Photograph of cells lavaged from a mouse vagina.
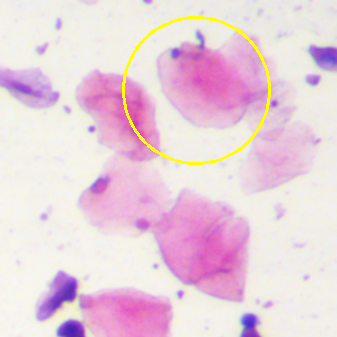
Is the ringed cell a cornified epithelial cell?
Yes, it is a cornified epithelial cell.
